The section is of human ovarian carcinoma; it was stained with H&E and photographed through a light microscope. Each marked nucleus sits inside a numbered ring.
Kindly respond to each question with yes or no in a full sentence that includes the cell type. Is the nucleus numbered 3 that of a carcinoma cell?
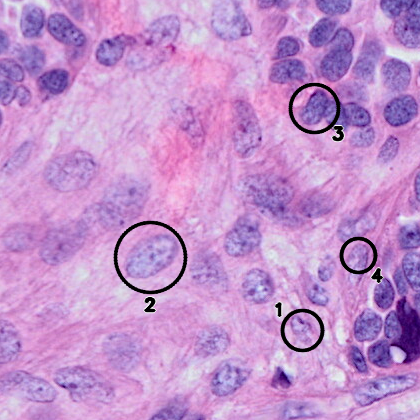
Yes, the cell distinguished by number 3 is a carcinoma cell.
